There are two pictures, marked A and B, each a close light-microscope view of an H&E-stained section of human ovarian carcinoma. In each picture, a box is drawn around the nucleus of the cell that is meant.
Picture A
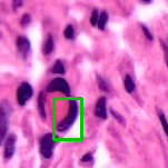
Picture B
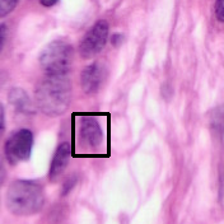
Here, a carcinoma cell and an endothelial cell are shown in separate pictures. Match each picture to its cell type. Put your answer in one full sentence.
Picture A shows an endothelial cell and picture B shows a carcinoma cell.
